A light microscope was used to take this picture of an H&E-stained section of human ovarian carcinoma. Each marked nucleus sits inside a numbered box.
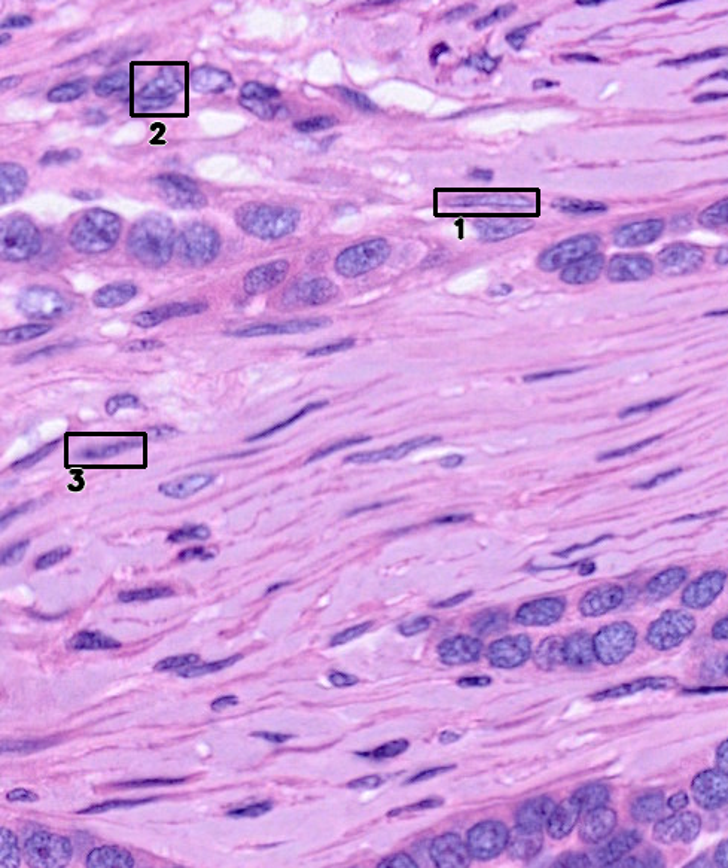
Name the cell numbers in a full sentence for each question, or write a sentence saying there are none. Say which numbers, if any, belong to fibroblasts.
Identification: the cells with numbers 1 and 3 are fibroblasts.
